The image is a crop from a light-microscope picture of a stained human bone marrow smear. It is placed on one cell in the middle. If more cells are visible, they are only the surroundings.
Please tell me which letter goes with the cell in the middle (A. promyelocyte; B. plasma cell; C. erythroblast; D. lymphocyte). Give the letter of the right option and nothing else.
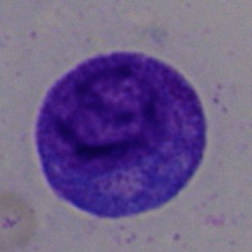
A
